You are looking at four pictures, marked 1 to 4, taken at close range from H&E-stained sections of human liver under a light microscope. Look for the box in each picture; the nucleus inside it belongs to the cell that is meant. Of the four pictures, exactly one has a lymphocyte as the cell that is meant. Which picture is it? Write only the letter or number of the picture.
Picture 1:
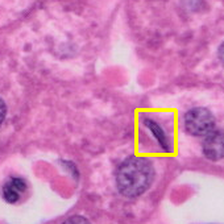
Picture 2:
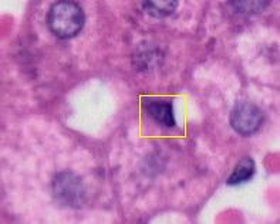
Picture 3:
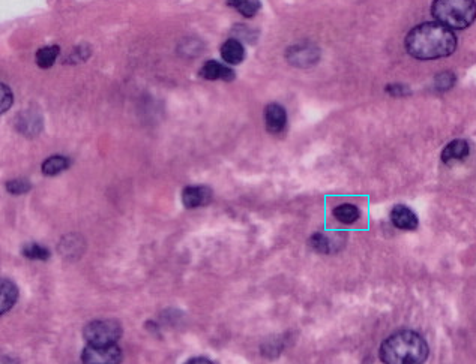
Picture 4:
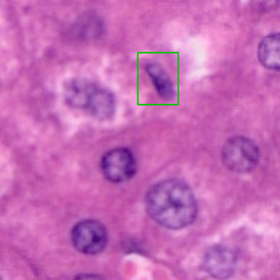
3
